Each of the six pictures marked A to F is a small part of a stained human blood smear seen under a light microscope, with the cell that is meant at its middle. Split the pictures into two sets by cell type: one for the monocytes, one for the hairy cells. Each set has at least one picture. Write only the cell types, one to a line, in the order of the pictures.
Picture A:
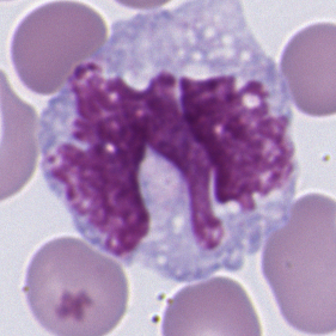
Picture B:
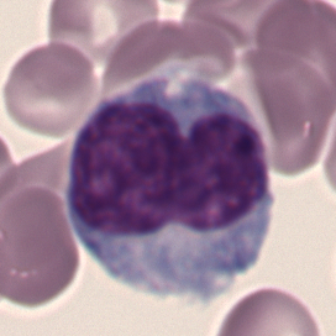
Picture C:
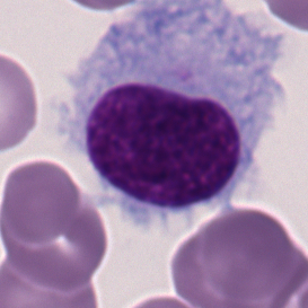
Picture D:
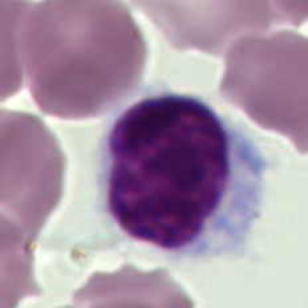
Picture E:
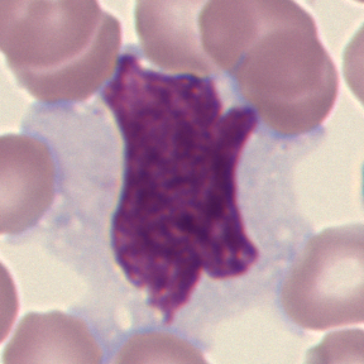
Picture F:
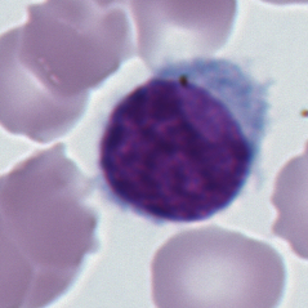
monocyte
monocyte
hairy cell
hairy cell
monocyte
hairy cell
